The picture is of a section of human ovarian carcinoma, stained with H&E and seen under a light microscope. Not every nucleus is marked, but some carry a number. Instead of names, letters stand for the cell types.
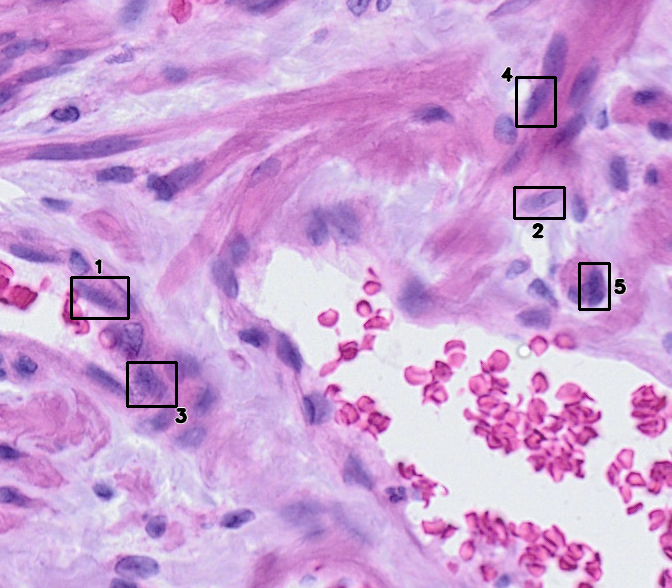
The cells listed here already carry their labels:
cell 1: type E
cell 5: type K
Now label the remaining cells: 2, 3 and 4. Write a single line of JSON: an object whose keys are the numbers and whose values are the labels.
{"2": "type K", "3": "type E", "4": "type K"}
